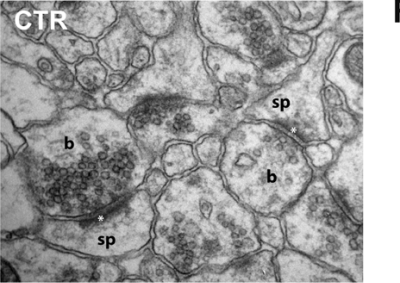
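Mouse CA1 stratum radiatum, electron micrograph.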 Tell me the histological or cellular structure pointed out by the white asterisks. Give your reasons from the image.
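Each asterisk sits at a dark, thickened stretch of membrane between two profiles. The thickening lies on the side of the profile without vesicles.
Conclusion: postsynaptic density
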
